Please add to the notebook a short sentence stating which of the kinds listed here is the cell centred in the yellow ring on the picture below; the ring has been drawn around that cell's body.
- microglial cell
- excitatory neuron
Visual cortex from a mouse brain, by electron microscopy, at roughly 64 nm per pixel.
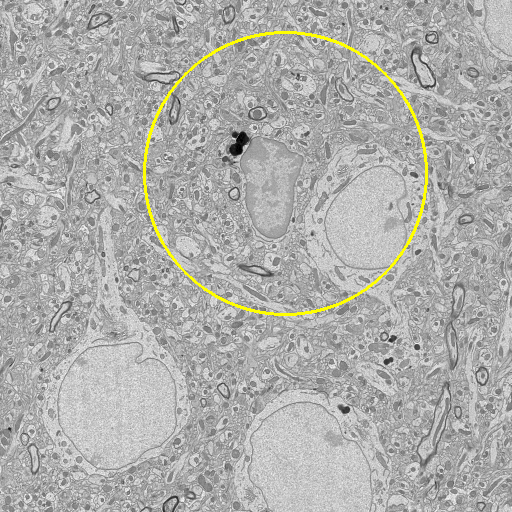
The cell centred in the yellow ring is a microglial cell.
